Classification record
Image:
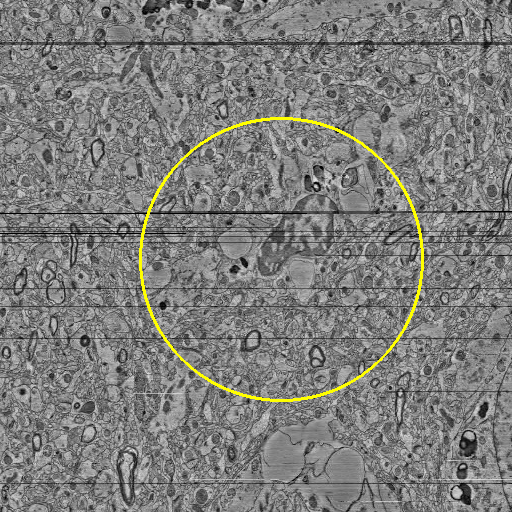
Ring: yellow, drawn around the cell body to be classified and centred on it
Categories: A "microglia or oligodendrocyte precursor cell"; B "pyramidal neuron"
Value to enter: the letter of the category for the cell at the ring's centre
A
